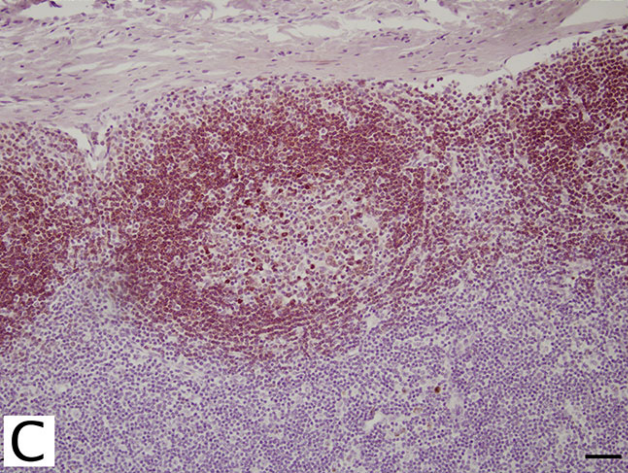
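Beneath a band of pale fibrous capsule lies a rounded follicle packed with small round lymphocytes whose nuclei are stained red-brown. The staining is densest in a ring at the edge of the follicle and somewhat lighter in its centre. Below and around it, sheets of small lymphocytes with blue nuclei remain largely unstained. This is lymph node cortex, with the B lymphocytes gathered in the follicle.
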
